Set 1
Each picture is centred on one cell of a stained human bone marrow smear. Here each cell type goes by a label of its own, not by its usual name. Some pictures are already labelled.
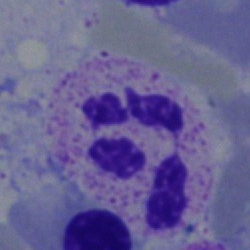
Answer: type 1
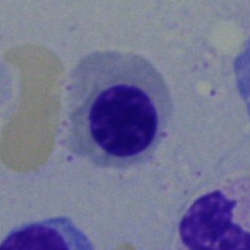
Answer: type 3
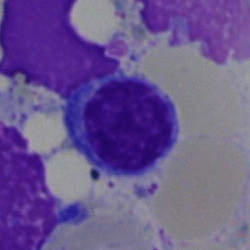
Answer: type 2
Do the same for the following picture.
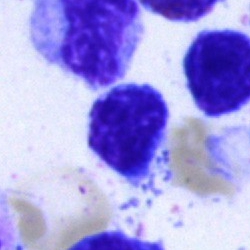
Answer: type 2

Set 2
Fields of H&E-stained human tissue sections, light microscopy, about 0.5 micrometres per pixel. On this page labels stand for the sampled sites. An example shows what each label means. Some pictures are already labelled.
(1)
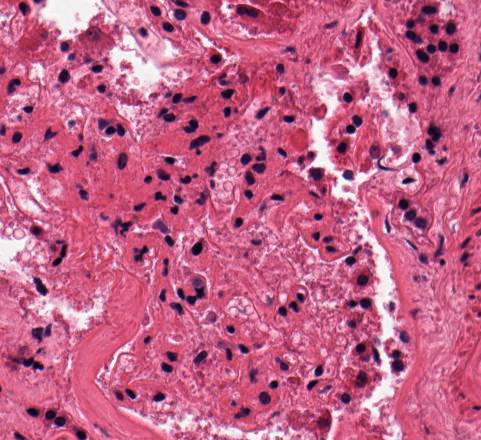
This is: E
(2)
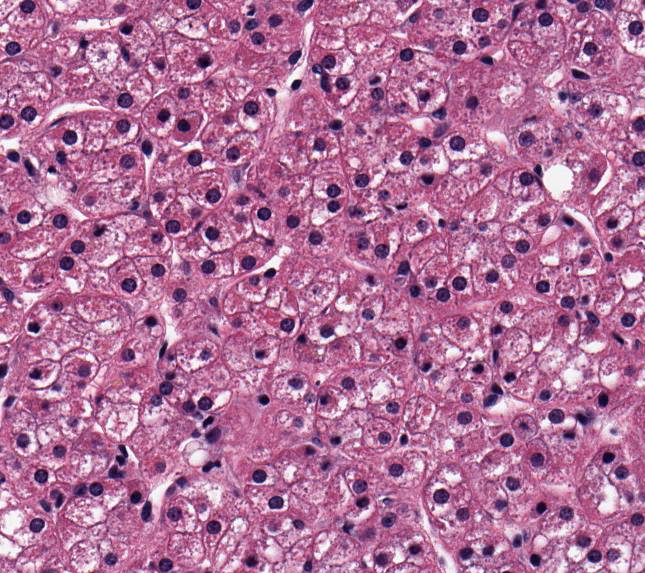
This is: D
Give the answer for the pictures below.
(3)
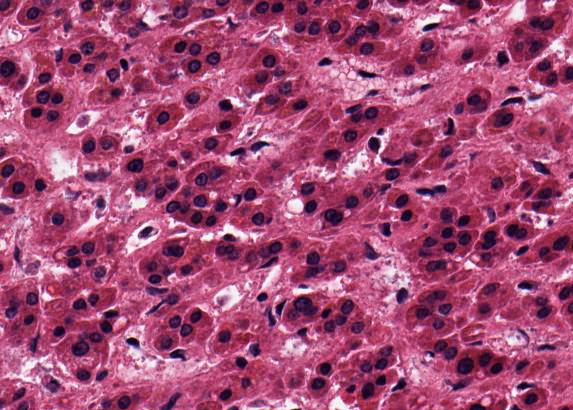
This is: D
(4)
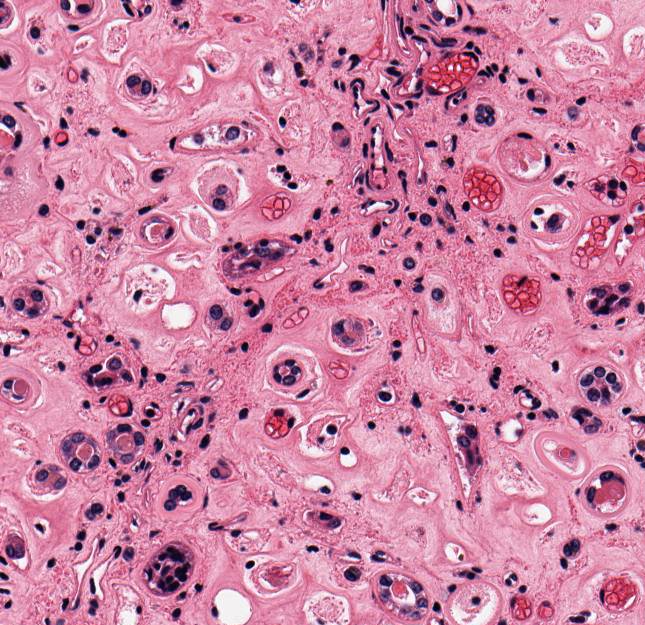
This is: E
